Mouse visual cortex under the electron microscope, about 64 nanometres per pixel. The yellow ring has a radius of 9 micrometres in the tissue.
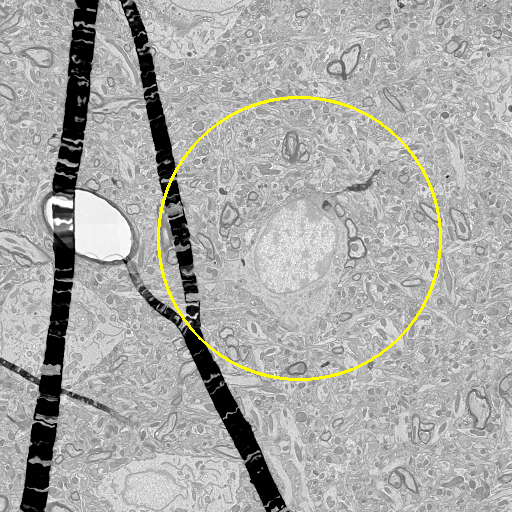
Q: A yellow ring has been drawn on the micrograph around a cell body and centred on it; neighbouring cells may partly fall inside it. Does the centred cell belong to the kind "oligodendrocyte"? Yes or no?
Yes, it belongs to that kind.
